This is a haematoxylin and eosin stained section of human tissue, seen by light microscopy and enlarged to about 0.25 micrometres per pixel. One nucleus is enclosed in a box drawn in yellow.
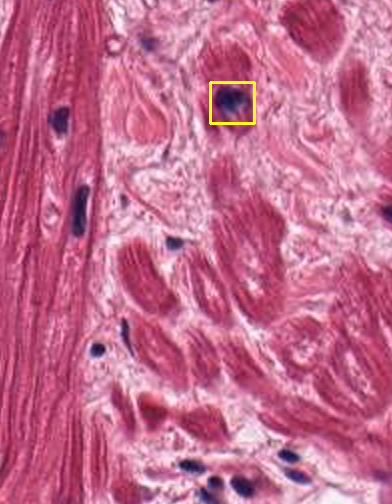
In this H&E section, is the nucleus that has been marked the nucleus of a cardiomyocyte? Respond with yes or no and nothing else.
yes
